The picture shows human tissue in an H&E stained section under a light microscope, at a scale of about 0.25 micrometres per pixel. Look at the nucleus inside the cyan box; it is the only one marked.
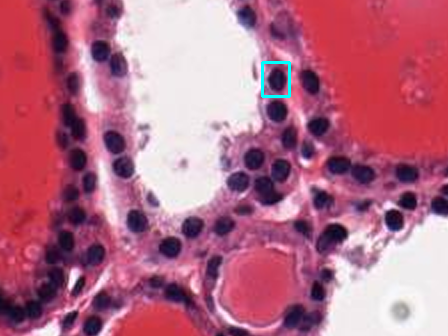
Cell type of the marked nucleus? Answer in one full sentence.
The nucleus that has been marked belongs to a thyroid follicular cell.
